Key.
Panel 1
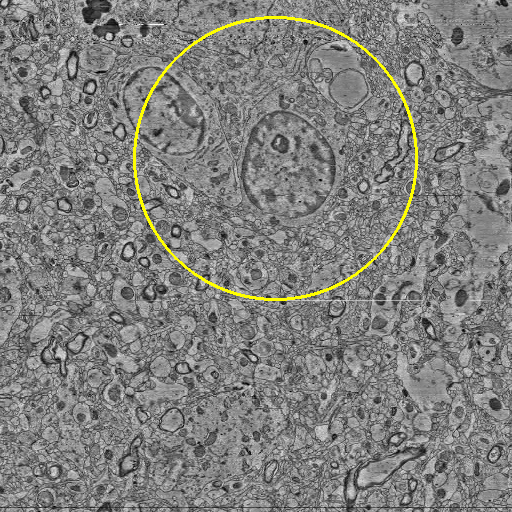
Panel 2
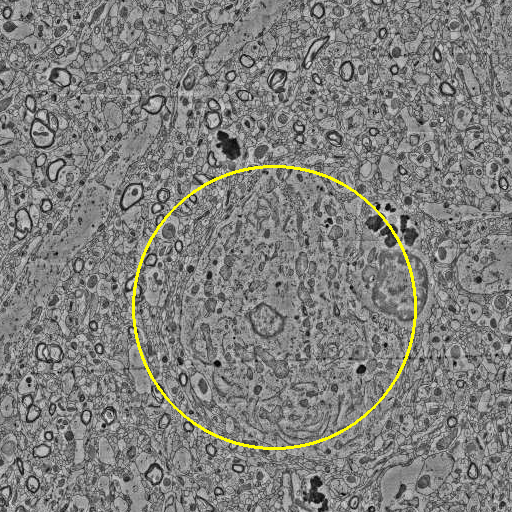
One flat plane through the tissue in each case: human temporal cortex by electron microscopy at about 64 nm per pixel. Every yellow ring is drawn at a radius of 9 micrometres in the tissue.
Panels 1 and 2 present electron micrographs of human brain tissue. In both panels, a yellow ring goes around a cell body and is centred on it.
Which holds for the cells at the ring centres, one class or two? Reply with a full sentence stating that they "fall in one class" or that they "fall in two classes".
Taken together, the ring-centre cells of the two panels fall in two classes.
